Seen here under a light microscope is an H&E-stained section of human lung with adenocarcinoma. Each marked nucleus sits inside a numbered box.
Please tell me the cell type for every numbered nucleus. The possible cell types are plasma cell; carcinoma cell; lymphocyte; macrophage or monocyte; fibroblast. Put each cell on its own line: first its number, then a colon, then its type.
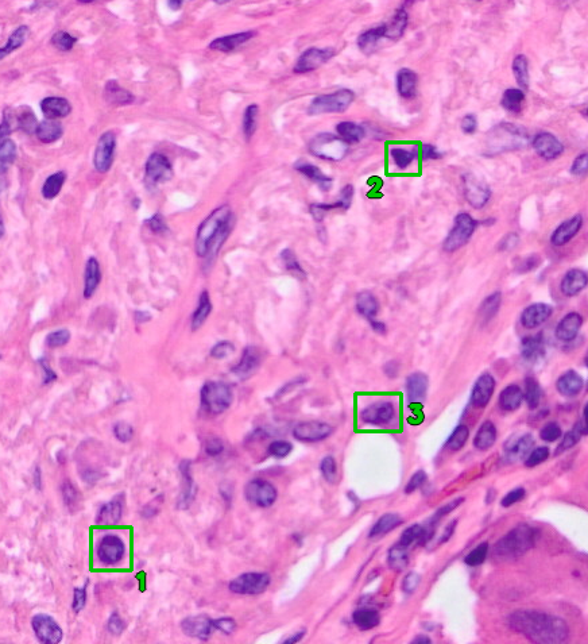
1: plasma cell
2: lymphocyte
3: plasma cell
